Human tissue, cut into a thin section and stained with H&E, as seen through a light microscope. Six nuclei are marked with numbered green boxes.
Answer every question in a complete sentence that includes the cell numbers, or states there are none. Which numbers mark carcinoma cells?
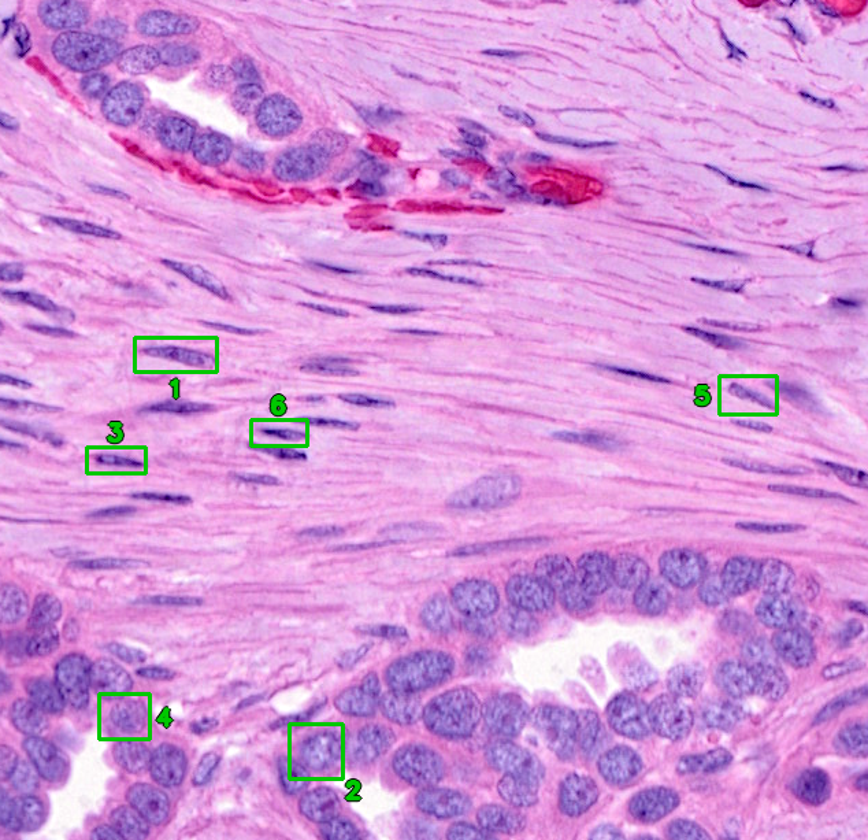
The cells bearing the numbers 2 and 4 are carcinoma cells.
